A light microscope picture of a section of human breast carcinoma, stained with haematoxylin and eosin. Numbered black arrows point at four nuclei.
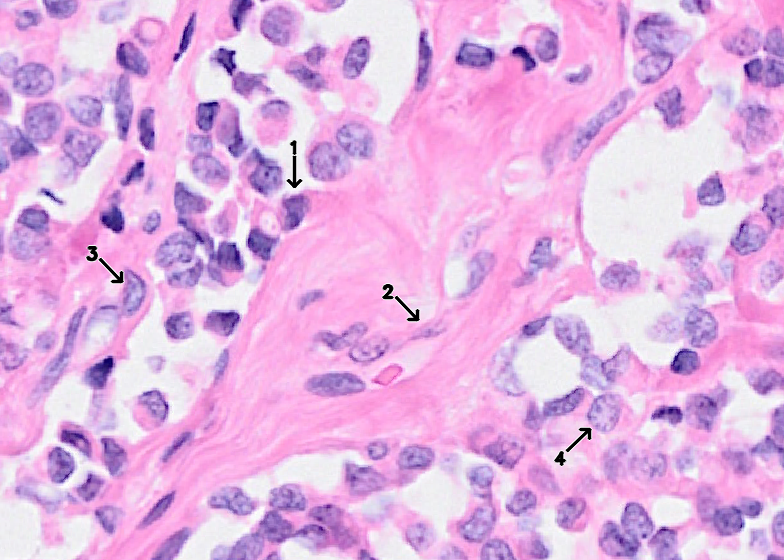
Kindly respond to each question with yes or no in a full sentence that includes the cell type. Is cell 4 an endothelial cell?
No, the cell at marker 4 is not an endothelial cell; it is a carcinoma cell.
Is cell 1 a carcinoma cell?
Yes, number 1 is assigned to a cell that is a carcinoma cell.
